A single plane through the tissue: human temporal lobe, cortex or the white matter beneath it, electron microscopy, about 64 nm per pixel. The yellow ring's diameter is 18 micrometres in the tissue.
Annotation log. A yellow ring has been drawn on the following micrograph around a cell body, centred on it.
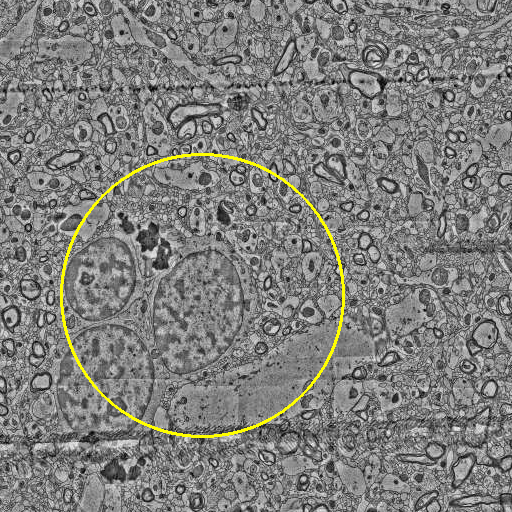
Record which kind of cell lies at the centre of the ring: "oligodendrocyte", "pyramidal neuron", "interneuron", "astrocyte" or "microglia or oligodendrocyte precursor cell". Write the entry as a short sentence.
The cell the ring is centred on is an oligodendrocyte.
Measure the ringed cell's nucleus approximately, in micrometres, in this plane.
The ringed cell's nucleus measures approximately 7 by 6 micrometres in this plane.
